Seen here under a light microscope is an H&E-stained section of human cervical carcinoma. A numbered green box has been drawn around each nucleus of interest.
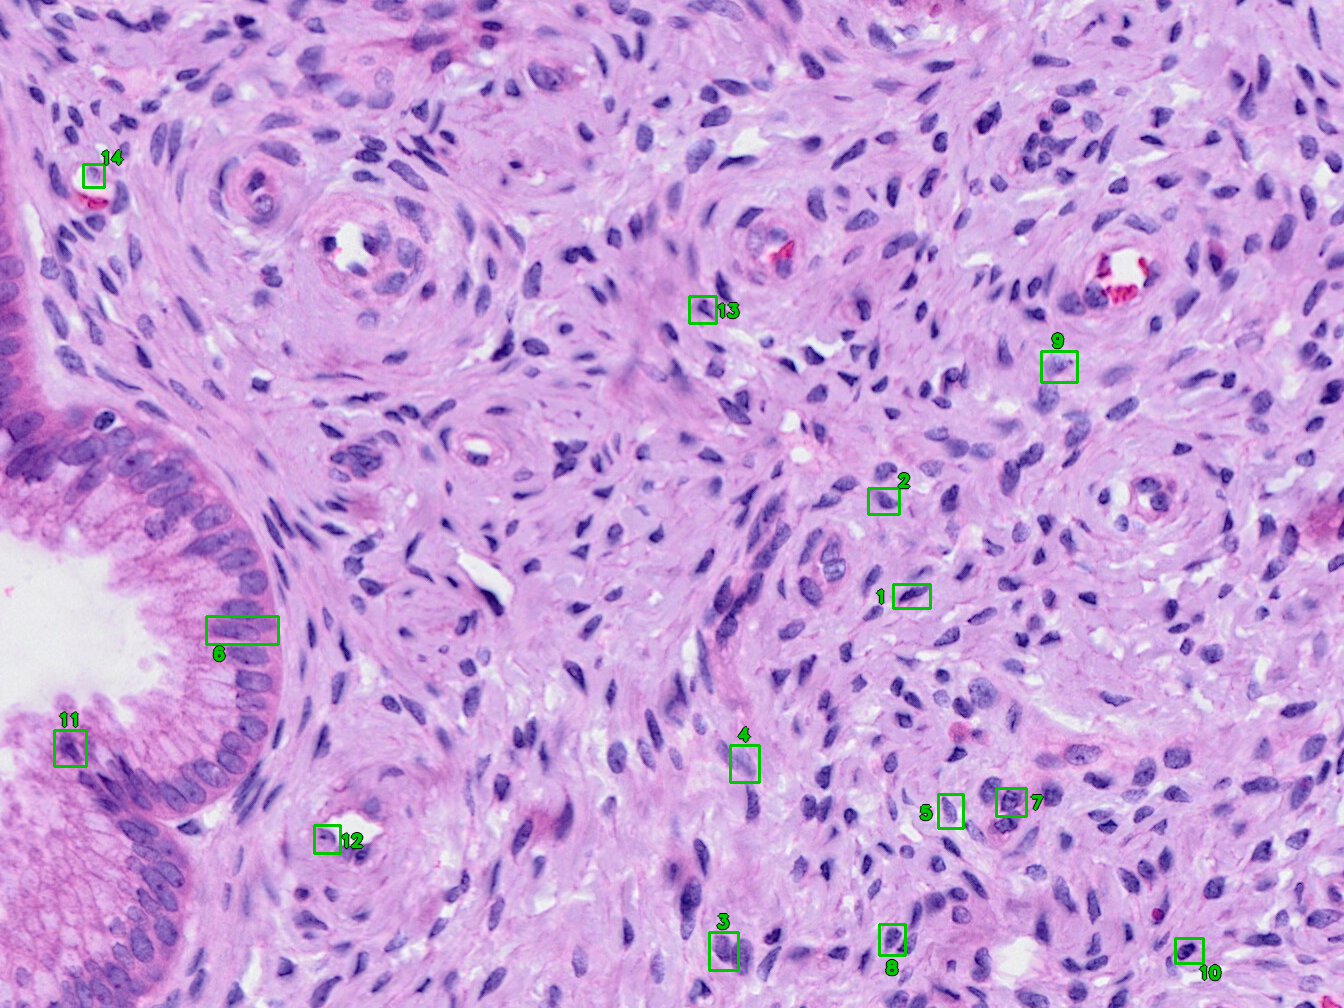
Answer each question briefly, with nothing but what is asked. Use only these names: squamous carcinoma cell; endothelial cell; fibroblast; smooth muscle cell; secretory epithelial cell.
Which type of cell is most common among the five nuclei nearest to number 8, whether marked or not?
fibroblast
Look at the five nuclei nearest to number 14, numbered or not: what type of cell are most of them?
smooth muscle cell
